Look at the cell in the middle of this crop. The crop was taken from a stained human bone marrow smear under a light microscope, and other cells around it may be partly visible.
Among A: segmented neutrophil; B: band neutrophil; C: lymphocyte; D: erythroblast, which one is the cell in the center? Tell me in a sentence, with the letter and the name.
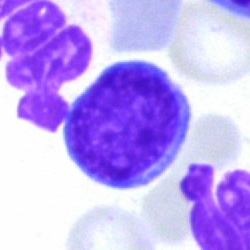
The cell positioned centrally is a lymphocyte, as given in option C, which is correct.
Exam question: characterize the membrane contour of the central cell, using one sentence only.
The edge of the cell is unbroken and smooth, bearing no projections.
